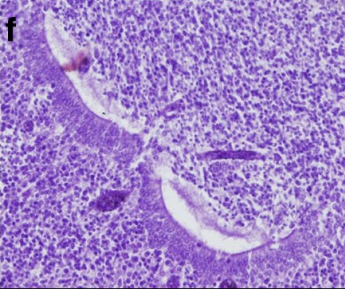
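Around the lining lies a densely cellular periventricular tissue packed with small round, darkly stained nuclei. The ependymal lining looks irregular and broken in places rather than forming a smooth continuous layer. A little pink-red material lies within the ventricular space.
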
